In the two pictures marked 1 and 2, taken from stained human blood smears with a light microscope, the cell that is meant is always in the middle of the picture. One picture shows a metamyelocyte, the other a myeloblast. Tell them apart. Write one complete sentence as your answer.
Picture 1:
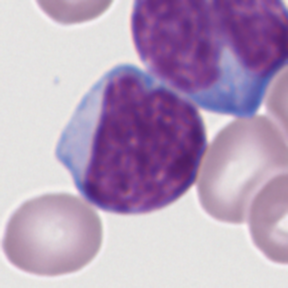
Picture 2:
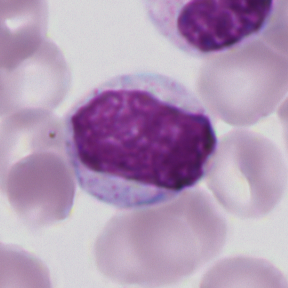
Picture 2 shows a metamyelocyte, while picture 1 shows a myeloblast.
